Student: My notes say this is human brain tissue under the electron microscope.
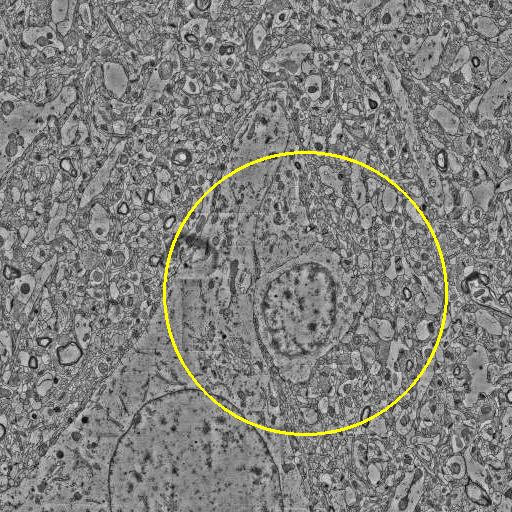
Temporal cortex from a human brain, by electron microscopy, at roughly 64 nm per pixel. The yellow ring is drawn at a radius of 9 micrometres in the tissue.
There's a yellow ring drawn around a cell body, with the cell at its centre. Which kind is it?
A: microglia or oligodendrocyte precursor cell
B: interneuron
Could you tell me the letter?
B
